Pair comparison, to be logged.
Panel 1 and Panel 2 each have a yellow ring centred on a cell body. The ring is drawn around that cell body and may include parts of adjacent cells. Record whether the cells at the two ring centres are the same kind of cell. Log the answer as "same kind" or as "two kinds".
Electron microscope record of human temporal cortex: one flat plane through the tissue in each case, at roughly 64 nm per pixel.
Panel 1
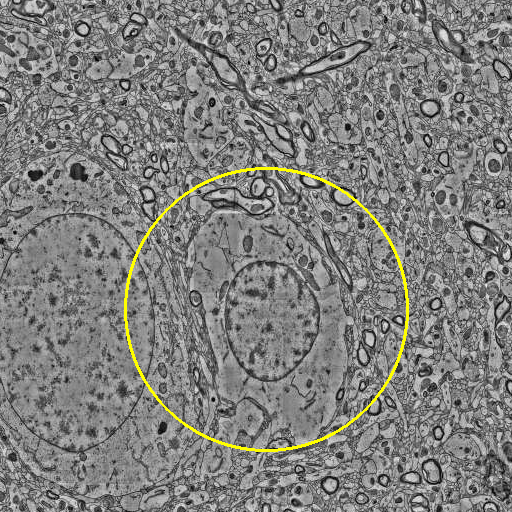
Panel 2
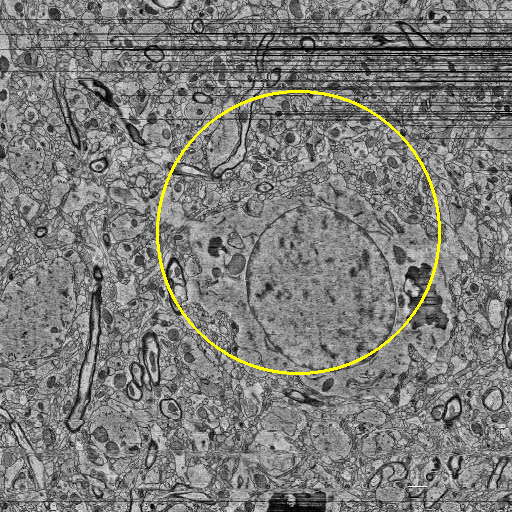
same kind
